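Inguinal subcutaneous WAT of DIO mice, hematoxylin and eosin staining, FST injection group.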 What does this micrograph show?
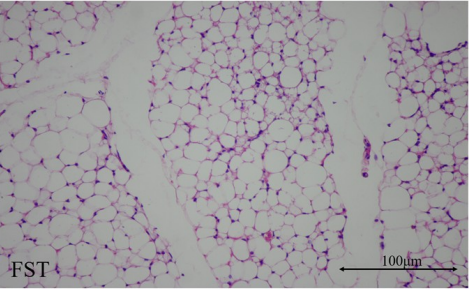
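The cells are small and rounded to polygonal and packed closely like a honeycomb. Dark purple nuclei sit at the edges of the cells, squeezed against the rims. Broad pale bands without cells cross the field, dividing the fat into lobules. The cells are notably small and numerous for white fat.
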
